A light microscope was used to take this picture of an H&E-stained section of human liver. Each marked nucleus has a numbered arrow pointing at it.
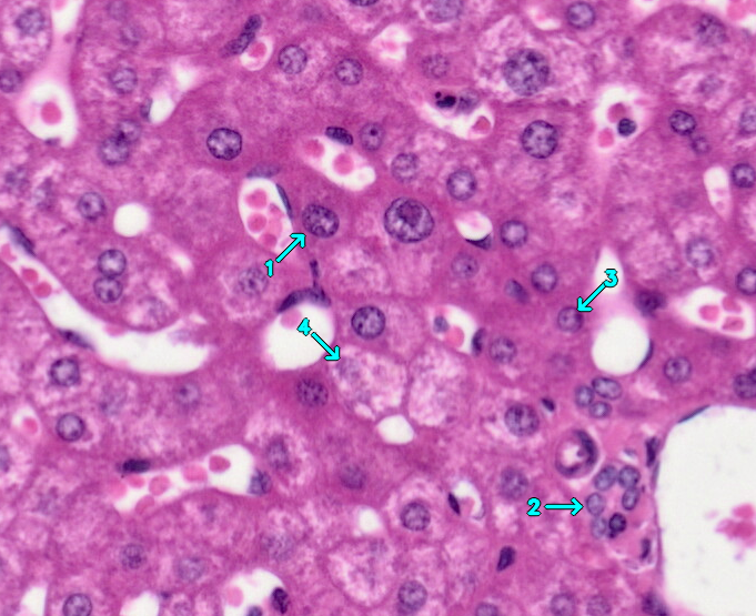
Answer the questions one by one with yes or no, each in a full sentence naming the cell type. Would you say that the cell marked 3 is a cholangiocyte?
No, the cell carrying number 3 is a hepatocyte rather than a cholangiocyte.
